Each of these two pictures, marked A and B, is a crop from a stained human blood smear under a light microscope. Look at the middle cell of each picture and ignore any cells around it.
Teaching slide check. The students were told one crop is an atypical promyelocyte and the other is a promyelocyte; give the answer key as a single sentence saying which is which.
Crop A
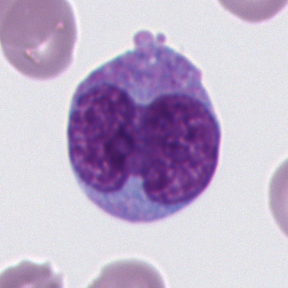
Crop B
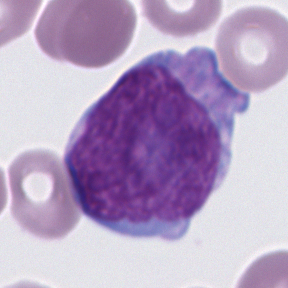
The middle of crop A is occupied by an atypical promyelocyte, and the middle of crop B by a promyelocyte.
